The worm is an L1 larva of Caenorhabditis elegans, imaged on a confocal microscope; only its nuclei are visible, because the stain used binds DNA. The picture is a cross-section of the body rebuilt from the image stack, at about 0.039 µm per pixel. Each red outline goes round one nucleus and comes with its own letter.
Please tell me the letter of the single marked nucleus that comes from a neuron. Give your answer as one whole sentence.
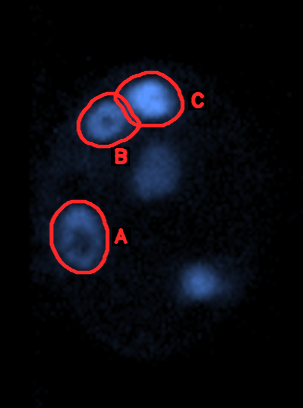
C is from a neuron.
